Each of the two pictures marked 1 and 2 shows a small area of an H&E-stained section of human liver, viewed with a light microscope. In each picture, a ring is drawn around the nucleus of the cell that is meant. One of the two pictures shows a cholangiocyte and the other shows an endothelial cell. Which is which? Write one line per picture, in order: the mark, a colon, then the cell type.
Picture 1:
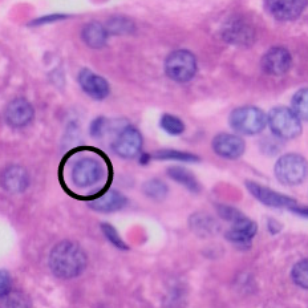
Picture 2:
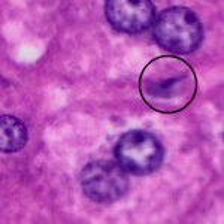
1: cholangiocyte
2: endothelial cell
